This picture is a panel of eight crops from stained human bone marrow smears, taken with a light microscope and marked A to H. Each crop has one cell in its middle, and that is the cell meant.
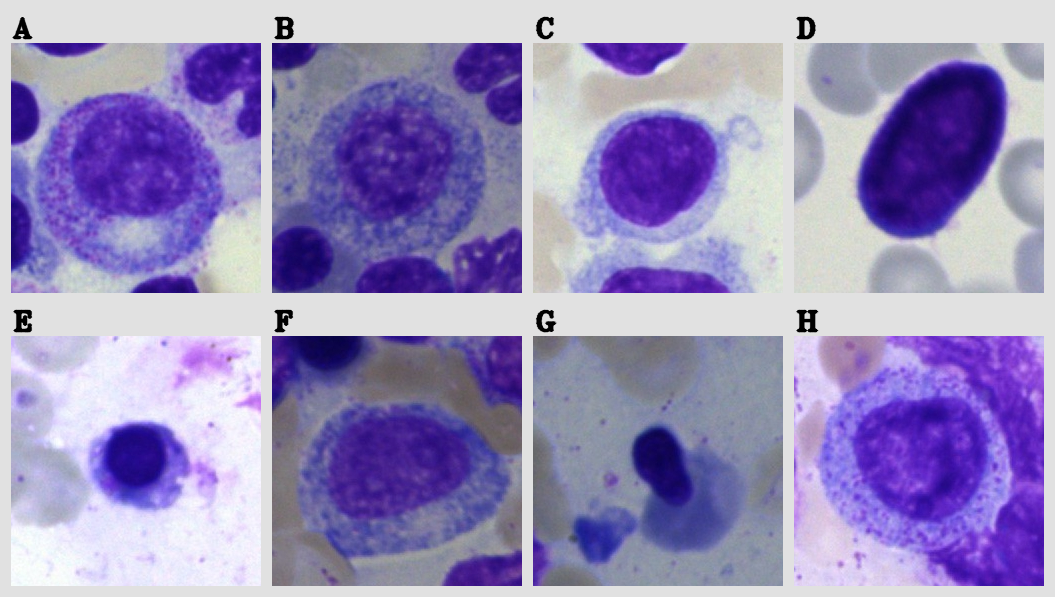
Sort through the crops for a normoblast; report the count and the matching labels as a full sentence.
Crops E and G, which number two, show normoblasts.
